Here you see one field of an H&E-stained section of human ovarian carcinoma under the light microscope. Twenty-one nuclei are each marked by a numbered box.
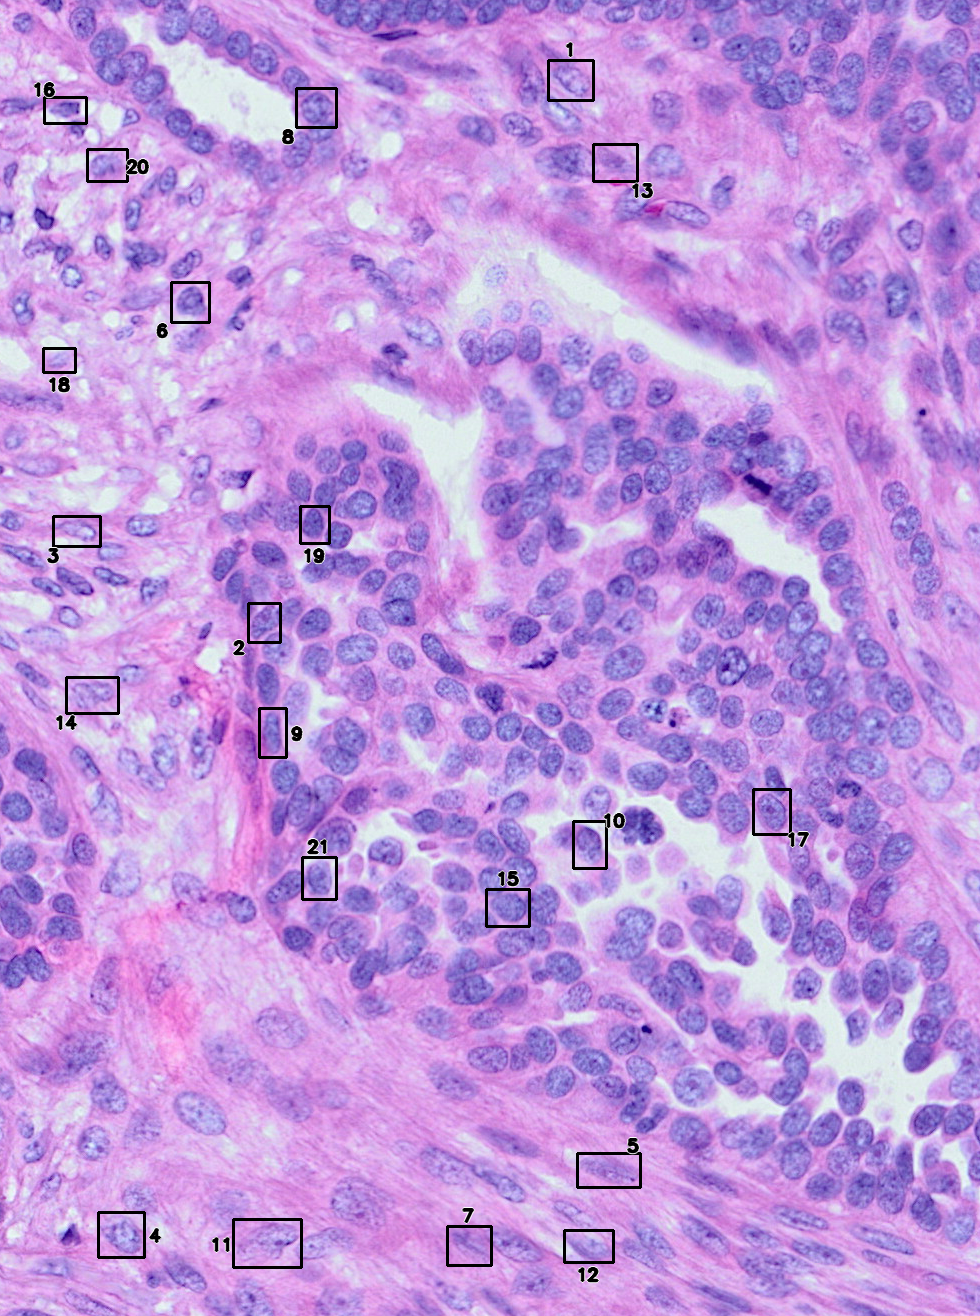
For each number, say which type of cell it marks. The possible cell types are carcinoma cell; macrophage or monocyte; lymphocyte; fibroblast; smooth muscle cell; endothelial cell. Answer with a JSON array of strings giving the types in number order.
["fibroblast", "carcinoma cell", "fibroblast", "fibroblast", "fibroblast", "macrophage or monocyte", "fibroblast", "carcinoma cell", "carcinoma cell", "carcinoma cell", "fibroblast", "fibroblast", "fibroblast", "fibroblast", "carcinoma cell", "macrophage or monocyte", "carcinoma cell", "fibroblast", "carcinoma cell", "fibroblast", "carcinoma cell"]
